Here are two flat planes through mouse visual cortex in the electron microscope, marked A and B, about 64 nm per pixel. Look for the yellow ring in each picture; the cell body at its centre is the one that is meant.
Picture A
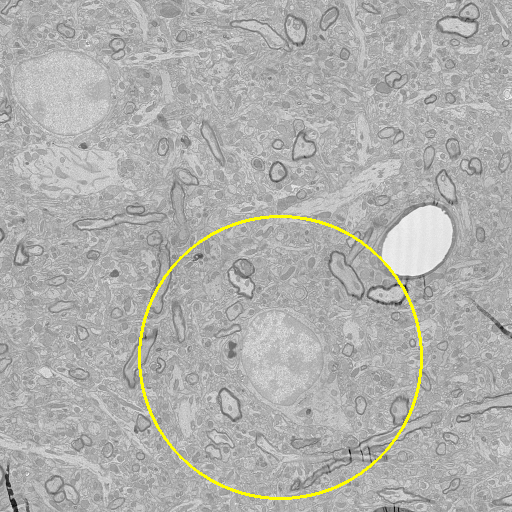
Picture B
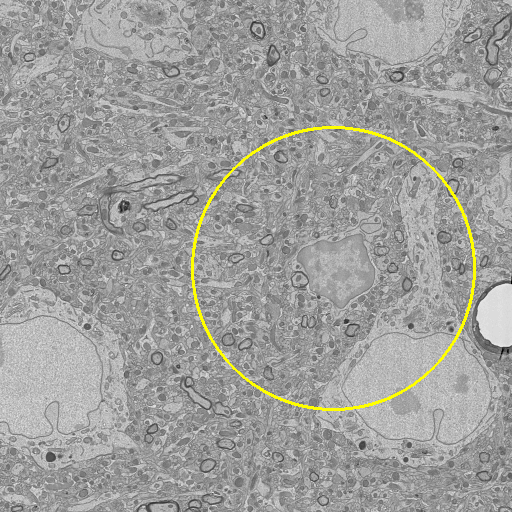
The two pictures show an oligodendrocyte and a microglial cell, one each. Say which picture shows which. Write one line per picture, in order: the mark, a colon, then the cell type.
A: oligodendrocyte
B: microglial cell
